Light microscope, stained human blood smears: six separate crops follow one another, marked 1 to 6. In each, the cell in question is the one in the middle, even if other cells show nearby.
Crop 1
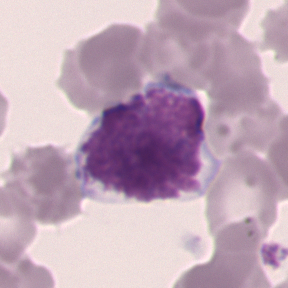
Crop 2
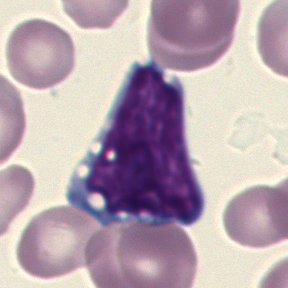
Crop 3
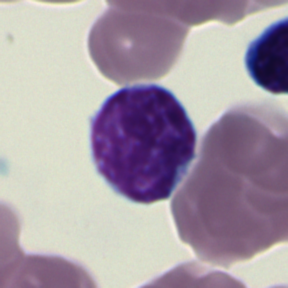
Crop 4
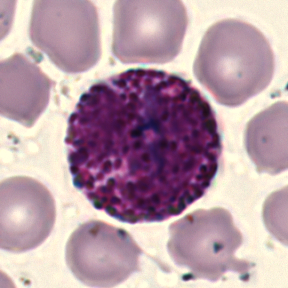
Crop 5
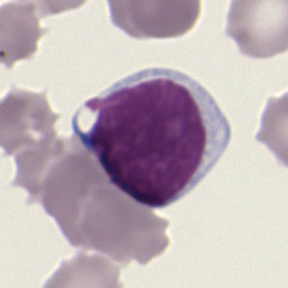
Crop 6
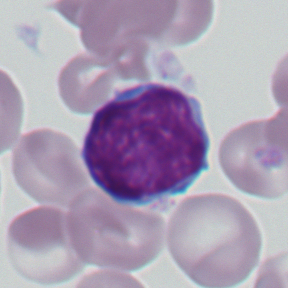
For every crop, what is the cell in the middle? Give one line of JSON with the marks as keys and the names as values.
{"1": "typical lymphocyte", "2": "myeloblast", "3": "typical lymphocyte", "4": "basophil", "5": "typical lymphocyte", "6": "typical lymphocyte"}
